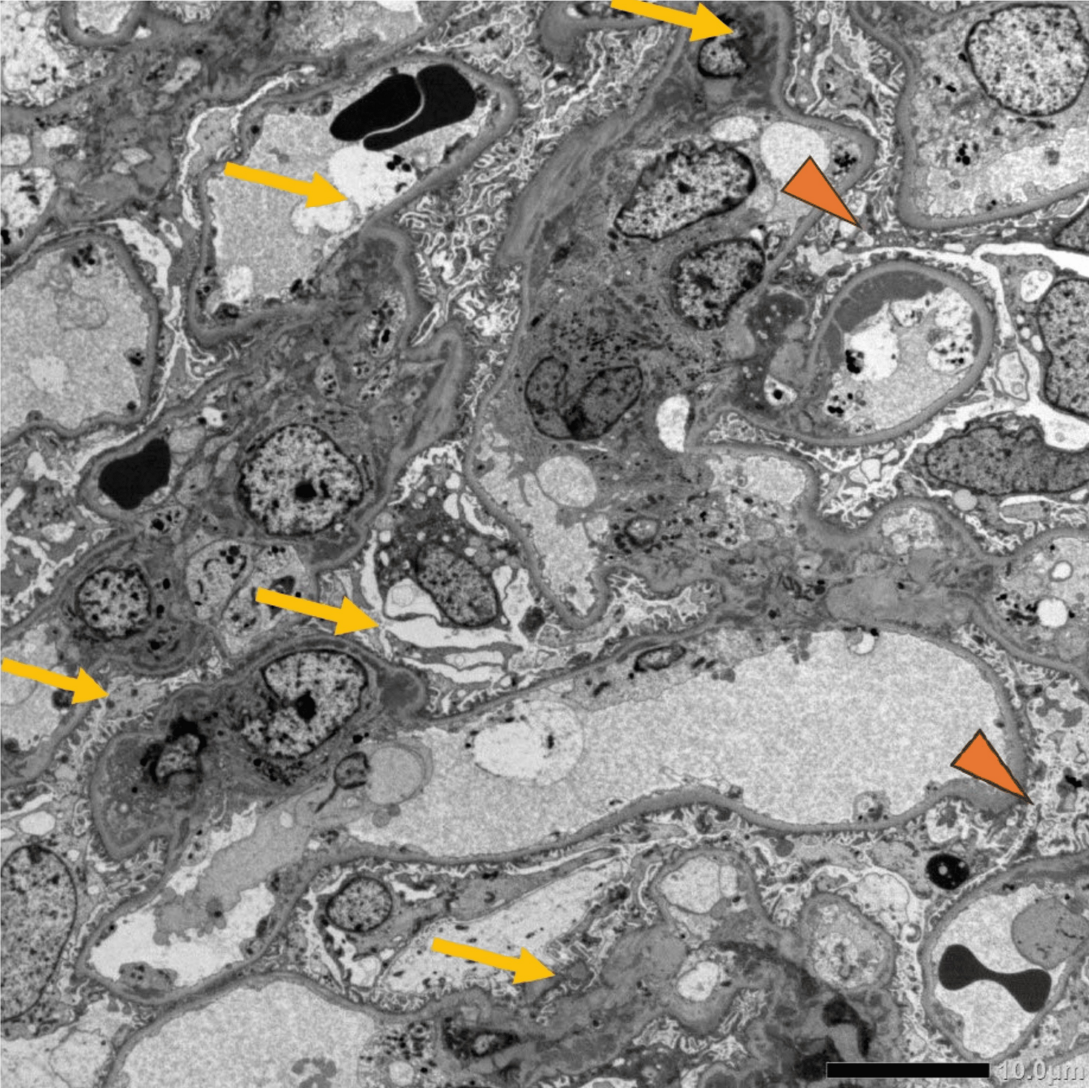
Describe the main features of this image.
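Many round and elongated capillary loops with pale, finely granular lumens fill the field, several containing very dark, smooth red blood cells, one of them dumbbell-shaped. Each loop is bounded by a grey basement membrane, and outside it lie pale spaces crowded with small, interdigitating cell processes. Between the loops run broad zones of darker grey matrix holding cells with large oval nuclei and clumped chromatin, plus scattered vacuoles. Dense grey material is laid down within these central zones and in places along the loop walls. This is a glomerulus with capillary loops, mesangium and podocyte foot processes, showing electron-dense deposits.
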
